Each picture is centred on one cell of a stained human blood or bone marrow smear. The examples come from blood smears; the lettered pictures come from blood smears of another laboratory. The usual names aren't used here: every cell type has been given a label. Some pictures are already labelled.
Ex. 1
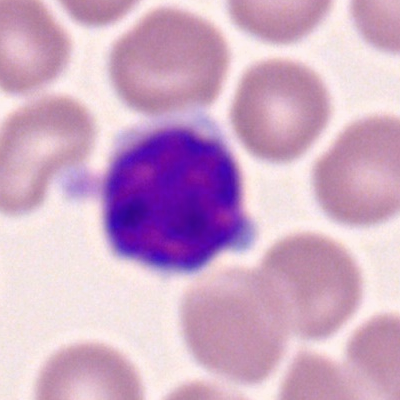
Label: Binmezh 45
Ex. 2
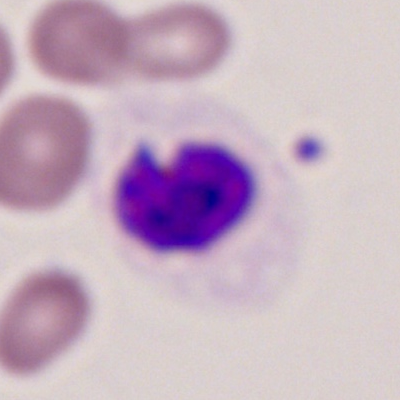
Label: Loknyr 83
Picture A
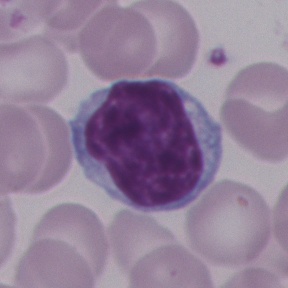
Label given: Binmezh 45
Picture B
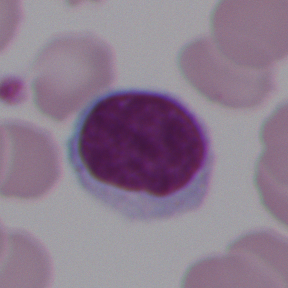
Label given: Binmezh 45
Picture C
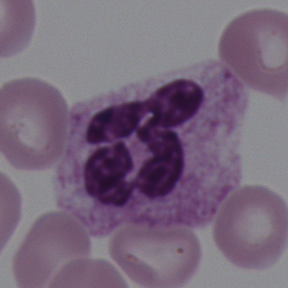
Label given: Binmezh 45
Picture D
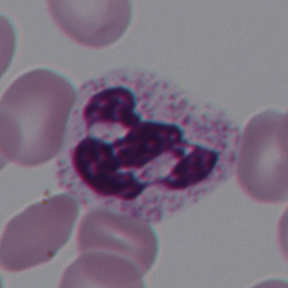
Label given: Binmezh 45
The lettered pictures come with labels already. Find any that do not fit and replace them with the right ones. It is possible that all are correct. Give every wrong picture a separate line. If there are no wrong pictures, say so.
C: change Binmezh 45 to Loknyr 83
D: change Binmezh 45 to Loknyr 83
